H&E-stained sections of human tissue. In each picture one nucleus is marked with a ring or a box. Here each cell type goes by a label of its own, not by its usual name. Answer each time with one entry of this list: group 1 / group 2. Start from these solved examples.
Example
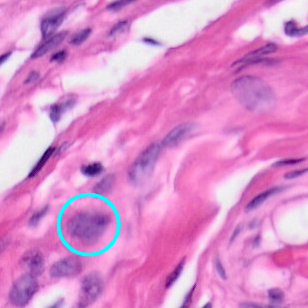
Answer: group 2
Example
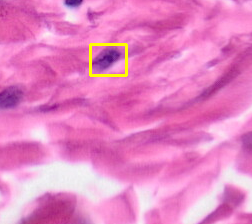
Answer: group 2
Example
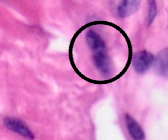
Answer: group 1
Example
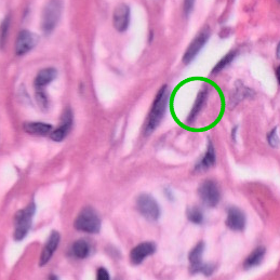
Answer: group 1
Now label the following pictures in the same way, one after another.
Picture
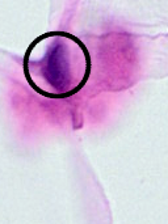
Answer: group 2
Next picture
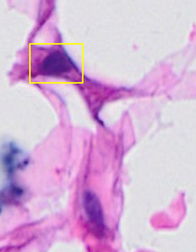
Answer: group 1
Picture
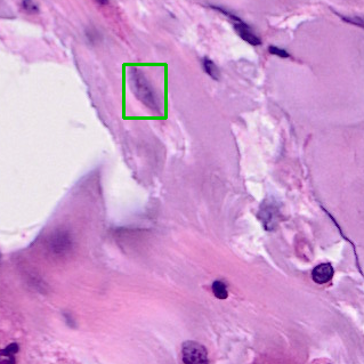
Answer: group 2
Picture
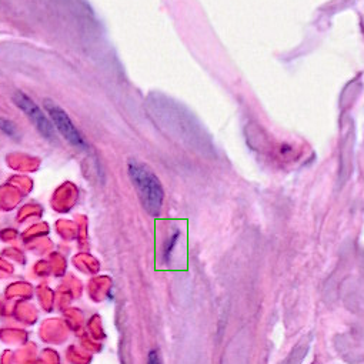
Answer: group 2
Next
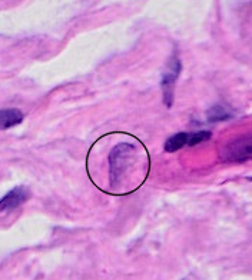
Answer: group 2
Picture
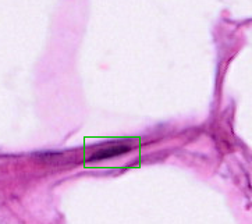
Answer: group 1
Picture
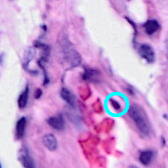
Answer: group 1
